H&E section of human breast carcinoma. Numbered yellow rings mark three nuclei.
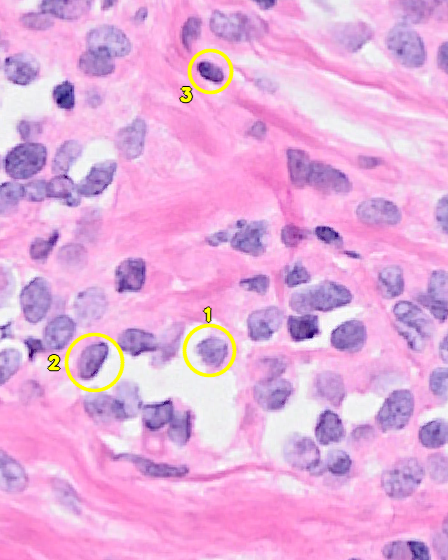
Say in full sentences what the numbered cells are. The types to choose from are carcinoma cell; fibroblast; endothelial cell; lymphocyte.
Cell 1 is a carcinoma cell, cell 2 is a carcinoma cell and cell 3 is a lymphocyte.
